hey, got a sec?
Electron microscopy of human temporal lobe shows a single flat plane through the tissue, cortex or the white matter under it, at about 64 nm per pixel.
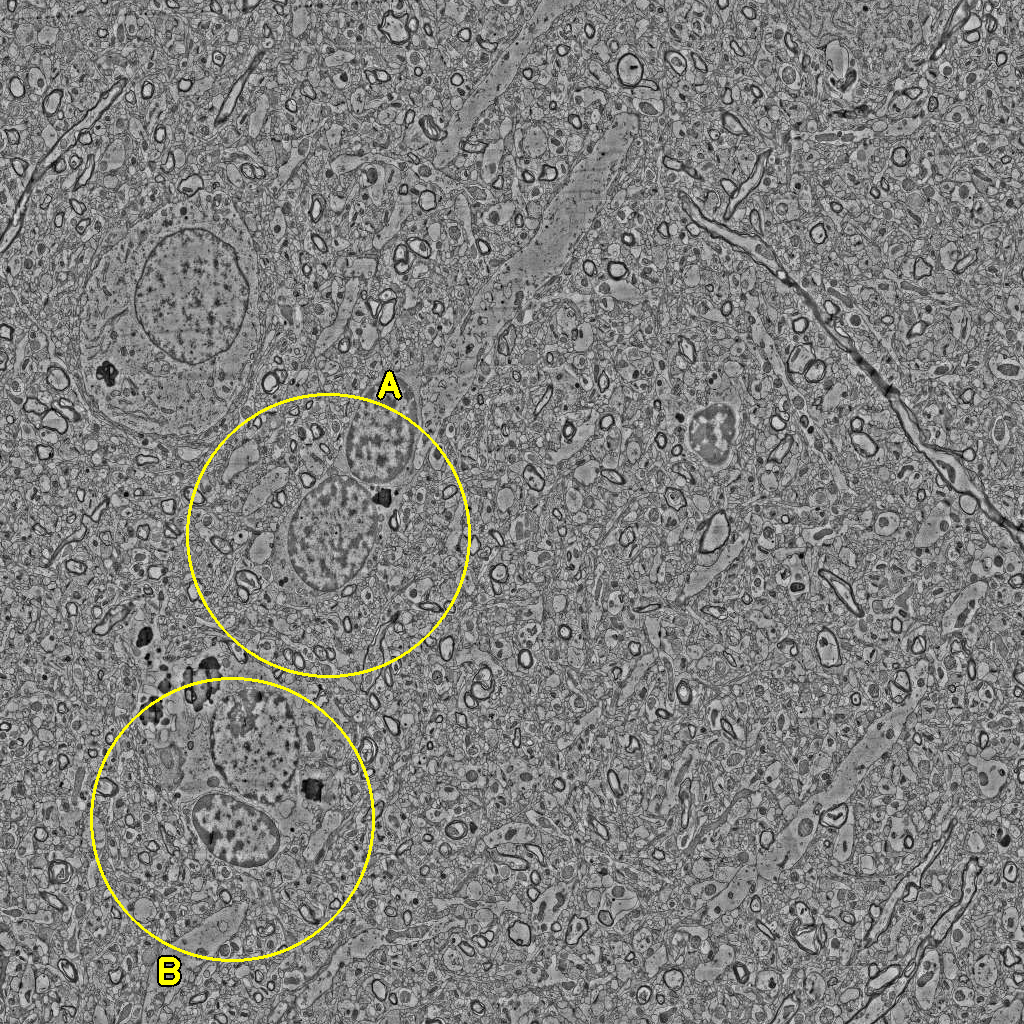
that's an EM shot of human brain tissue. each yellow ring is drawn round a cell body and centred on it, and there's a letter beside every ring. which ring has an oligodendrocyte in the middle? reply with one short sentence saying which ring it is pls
Ring A is the one centred on it.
